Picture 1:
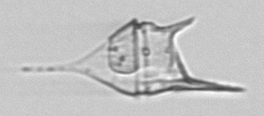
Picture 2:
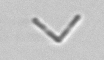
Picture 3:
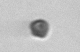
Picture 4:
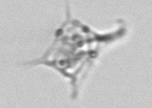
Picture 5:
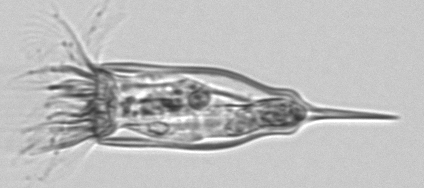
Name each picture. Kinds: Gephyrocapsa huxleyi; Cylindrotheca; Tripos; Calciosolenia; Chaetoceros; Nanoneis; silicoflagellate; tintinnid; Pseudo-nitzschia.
1: Tripos
2: Nanoneis
3: Gephyrocapsa huxleyi
4: silicoflagellate
5: tintinnid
